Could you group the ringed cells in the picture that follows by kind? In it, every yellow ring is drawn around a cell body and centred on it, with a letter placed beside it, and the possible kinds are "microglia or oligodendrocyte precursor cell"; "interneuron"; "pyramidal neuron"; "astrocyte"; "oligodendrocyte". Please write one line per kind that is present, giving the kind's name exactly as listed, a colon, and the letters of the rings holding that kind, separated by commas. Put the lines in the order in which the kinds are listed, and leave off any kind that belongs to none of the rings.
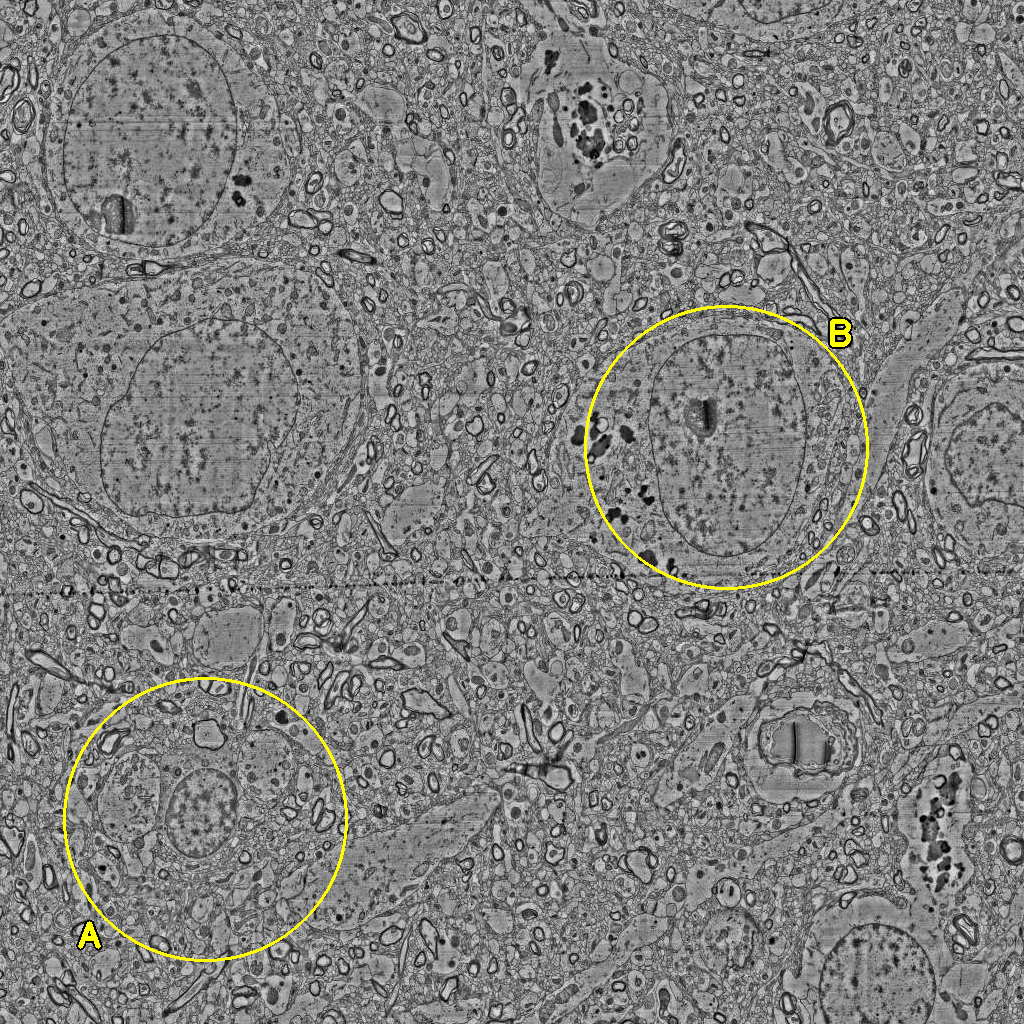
pyramidal neuron: B
oligodendrocyte: A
